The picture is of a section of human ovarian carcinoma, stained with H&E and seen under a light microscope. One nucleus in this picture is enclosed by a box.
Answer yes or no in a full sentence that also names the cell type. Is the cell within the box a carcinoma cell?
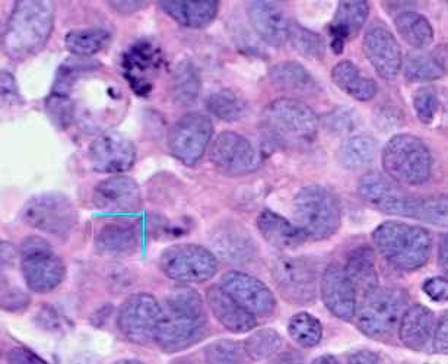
Yes, correct on this one: the cell within the box is a carcinoma cell.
